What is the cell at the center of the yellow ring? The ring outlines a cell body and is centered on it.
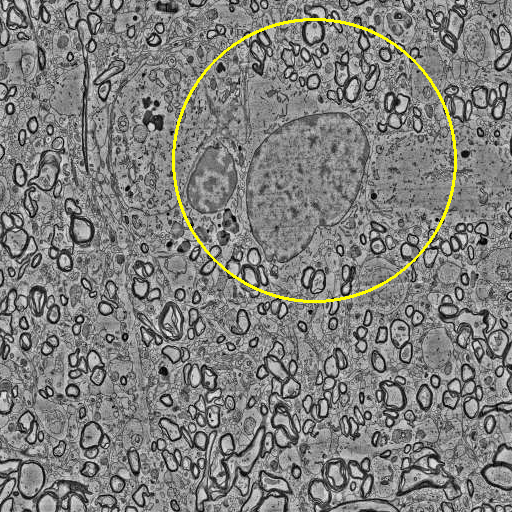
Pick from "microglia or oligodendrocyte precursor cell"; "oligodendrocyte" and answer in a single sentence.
The yellow ring is centered on a microglial cell or oligodendrocyte precursor cell.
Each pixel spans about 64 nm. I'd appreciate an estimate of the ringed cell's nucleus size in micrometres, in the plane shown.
In this plane, roughly 10 by 7 micrometres.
